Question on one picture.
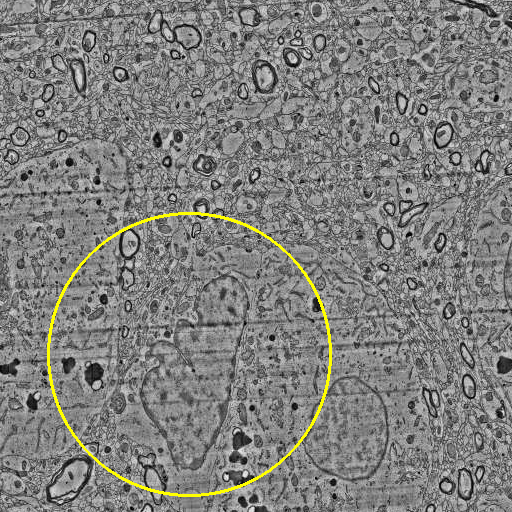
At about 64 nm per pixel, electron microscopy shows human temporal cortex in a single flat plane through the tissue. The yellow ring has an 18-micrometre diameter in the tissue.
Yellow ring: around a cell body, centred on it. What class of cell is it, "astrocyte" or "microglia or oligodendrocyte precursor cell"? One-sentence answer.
This is a microglial cell or oligodendrocyte precursor cell, the cell the ring is centred on.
